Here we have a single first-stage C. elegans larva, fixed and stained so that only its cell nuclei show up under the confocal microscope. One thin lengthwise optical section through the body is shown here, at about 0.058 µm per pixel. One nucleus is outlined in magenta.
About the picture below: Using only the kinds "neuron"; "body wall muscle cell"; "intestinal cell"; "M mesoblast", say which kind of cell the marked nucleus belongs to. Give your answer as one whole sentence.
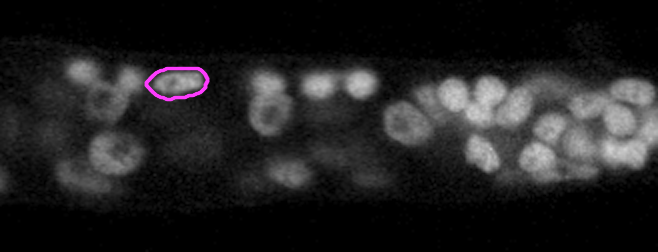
The marked nucleus is that of a body wall muscle cell.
